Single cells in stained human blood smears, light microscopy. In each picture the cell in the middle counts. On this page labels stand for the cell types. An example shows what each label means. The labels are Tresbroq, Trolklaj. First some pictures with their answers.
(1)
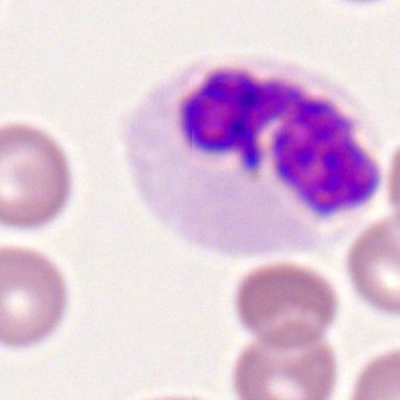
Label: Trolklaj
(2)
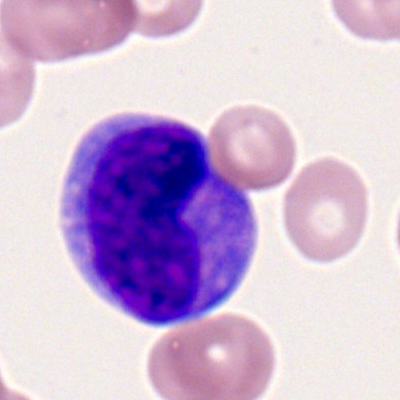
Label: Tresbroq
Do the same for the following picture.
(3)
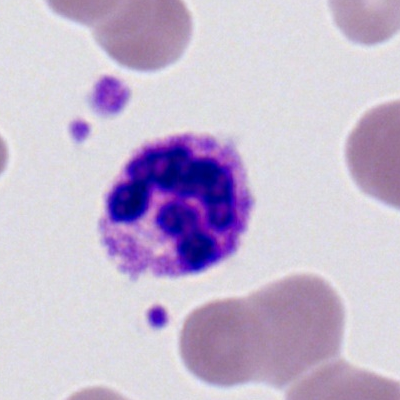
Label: Trolklaj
